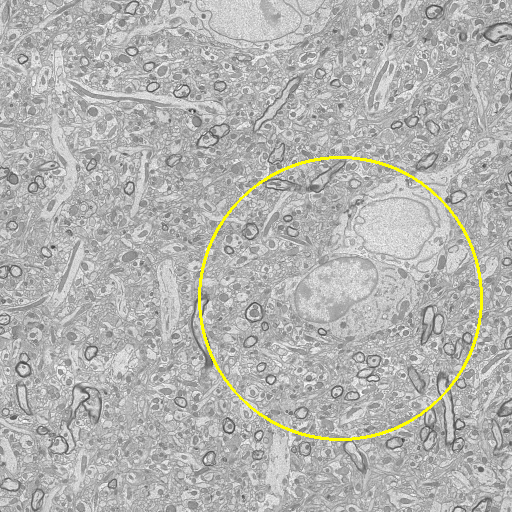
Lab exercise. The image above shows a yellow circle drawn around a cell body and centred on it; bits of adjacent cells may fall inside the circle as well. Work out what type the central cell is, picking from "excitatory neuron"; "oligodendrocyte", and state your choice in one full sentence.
In the image above, the cell at the centre of the yellow circle is an oligodendrocyte.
